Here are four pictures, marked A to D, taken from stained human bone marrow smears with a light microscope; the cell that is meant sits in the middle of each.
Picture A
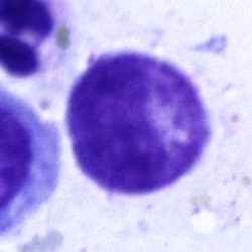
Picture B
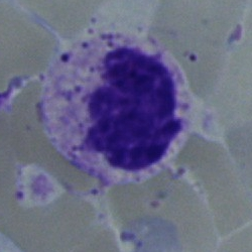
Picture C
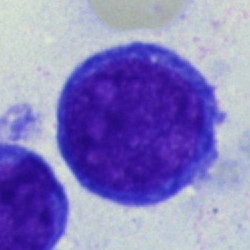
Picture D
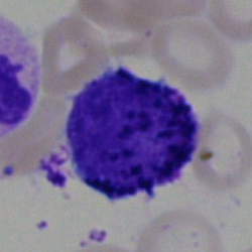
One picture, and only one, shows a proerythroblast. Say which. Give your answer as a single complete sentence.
It is picture C that shows the proerythroblast.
